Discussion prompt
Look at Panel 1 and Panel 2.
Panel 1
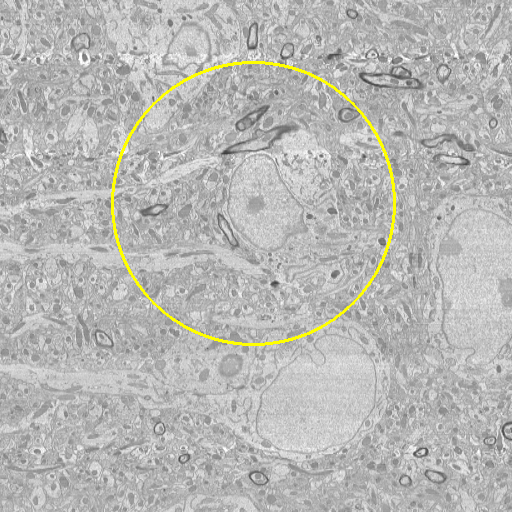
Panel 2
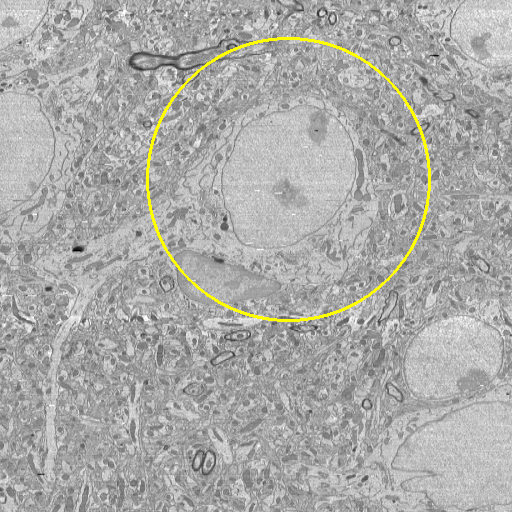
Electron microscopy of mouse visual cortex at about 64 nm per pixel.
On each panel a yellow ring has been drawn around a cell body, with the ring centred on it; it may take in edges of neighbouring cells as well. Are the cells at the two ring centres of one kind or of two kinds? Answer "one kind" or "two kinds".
two kinds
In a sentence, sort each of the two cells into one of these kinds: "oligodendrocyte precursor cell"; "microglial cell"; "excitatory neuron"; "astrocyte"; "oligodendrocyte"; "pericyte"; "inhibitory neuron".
The first of the two cells is an oligodendrocyte precursor cell, and the second is an excitatory neuron.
